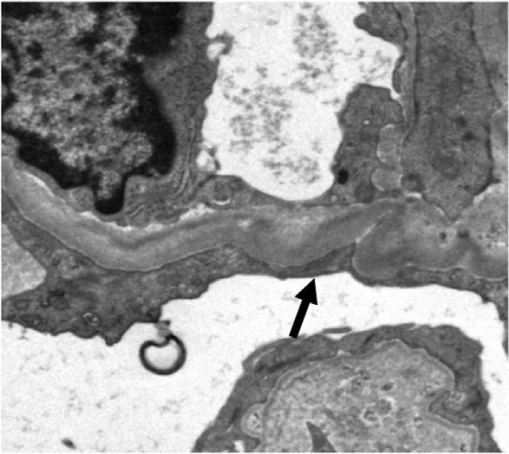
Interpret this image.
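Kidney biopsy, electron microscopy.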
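A pale, layered basement membrane runs horizontally through the field between two open spaces, with a cell bearing a large, irregular, dark nucleus at upper left. Beneath and along the membrane, at the arrow, the covering cytoplasm lies as a broad, unbroken sheet of grey material, without the row of regularly spaced small feet normally seen on the outer side of a glomerular capillary wall. A small ring-shaped profile lies in the lower space, and another cell with finely granular content sits at the bottom. These features fit a glomerular capillary wall with effaced podocyte foot processes.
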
